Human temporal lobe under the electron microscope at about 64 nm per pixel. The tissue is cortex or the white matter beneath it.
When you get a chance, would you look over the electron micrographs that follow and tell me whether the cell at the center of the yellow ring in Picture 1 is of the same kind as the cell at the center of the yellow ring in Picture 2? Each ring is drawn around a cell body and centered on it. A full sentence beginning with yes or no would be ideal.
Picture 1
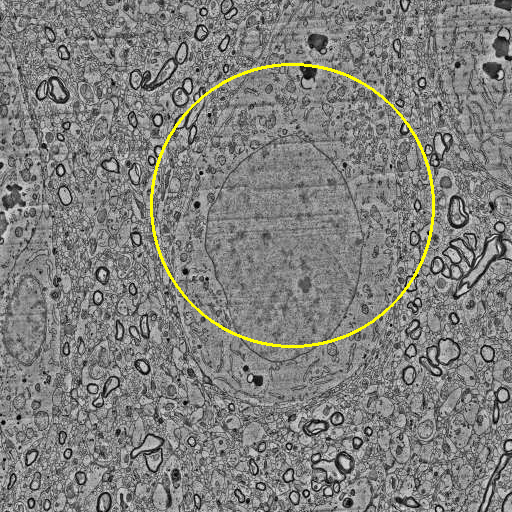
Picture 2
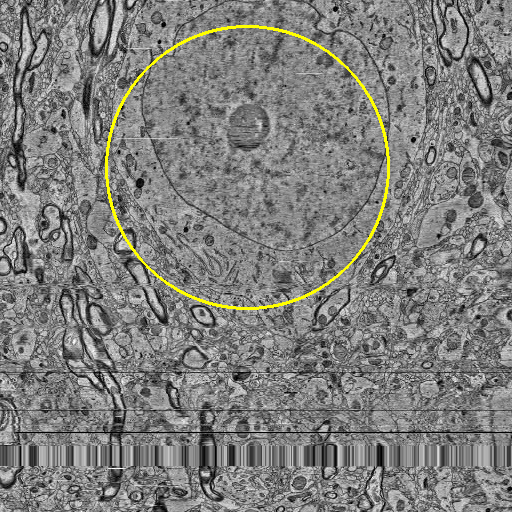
Yes, the two cells are of the same kind.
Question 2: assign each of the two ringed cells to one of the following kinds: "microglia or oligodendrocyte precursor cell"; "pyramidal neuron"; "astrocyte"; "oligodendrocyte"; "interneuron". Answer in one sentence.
Each of the two rings surrounds a pyramidal neuron.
